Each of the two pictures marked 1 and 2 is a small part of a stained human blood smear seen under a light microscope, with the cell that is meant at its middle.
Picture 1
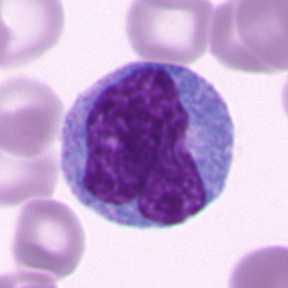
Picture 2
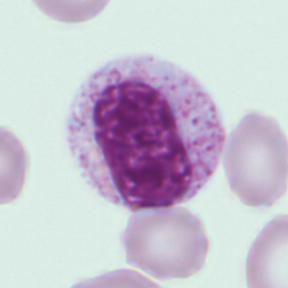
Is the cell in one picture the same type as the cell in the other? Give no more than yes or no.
no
